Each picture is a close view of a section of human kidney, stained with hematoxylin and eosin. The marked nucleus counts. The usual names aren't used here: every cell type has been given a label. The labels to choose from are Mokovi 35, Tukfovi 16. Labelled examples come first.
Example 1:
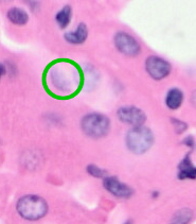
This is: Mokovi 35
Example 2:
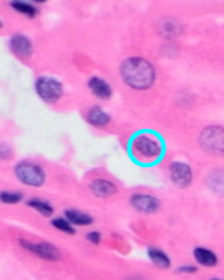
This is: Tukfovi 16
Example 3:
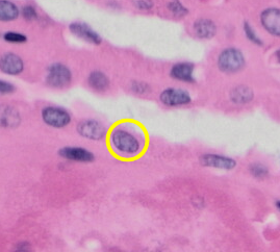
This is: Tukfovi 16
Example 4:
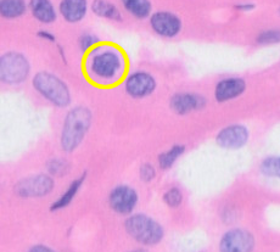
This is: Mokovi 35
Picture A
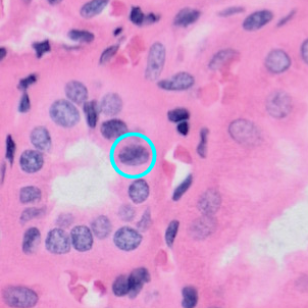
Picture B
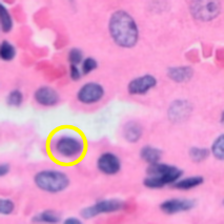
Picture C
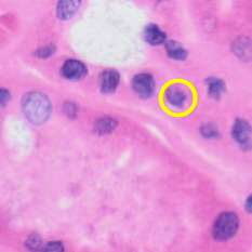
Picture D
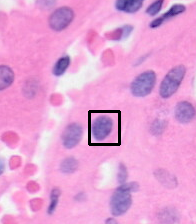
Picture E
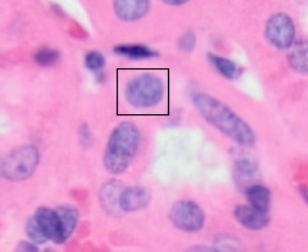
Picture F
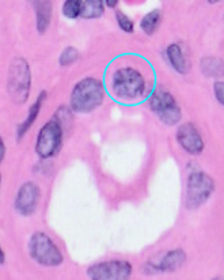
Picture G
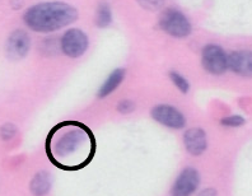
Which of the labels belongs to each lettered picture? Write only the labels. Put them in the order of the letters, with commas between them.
Mokovi 35, Tukfovi 16, Tukfovi 16, Tukfovi 16, Mokovi 35, Mokovi 35, Mokovi 35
